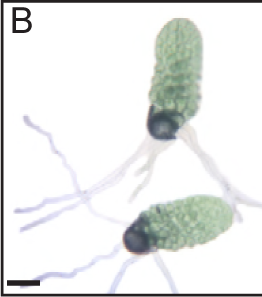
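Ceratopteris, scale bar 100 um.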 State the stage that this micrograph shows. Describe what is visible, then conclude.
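Developing gametophytes. Small green thalli made of polygonal cells grow out of dark round spore coats. Thin colourless rhizoids extend from near the spore coat.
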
